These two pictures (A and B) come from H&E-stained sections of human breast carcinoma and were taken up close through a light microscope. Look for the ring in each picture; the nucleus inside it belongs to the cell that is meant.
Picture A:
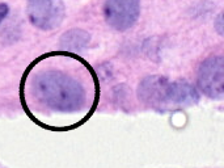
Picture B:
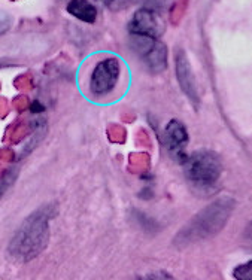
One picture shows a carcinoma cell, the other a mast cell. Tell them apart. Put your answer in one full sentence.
In picture A the cell is a carcinoma cell; in picture B, a mast cell.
